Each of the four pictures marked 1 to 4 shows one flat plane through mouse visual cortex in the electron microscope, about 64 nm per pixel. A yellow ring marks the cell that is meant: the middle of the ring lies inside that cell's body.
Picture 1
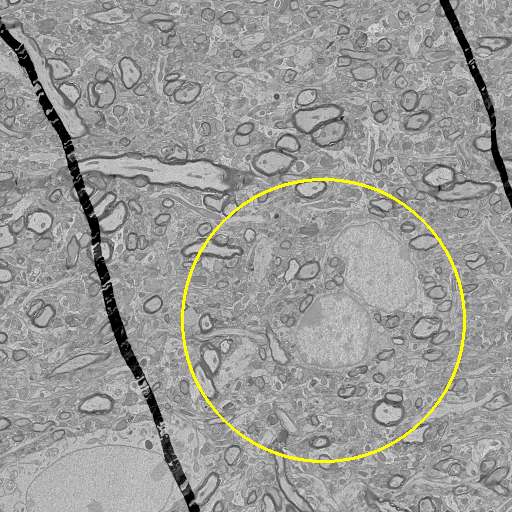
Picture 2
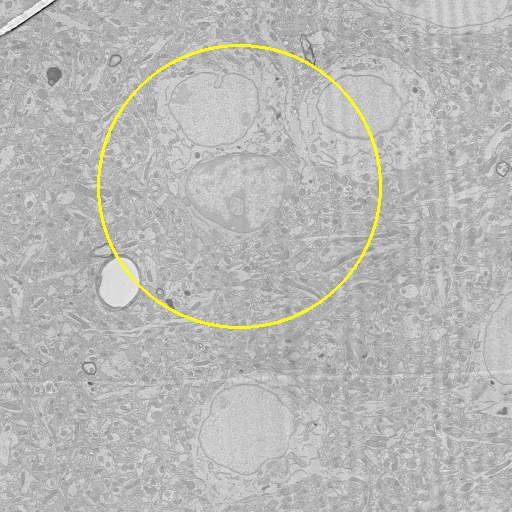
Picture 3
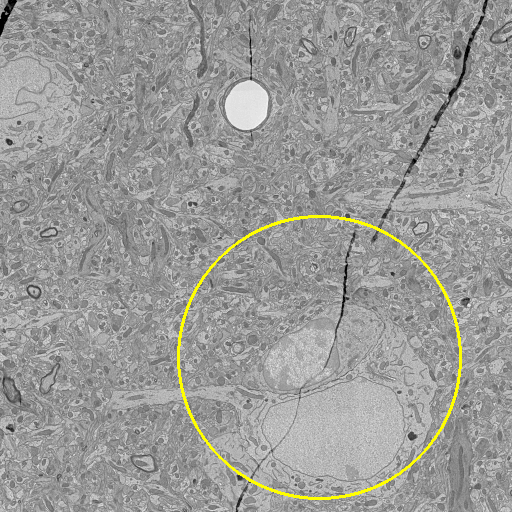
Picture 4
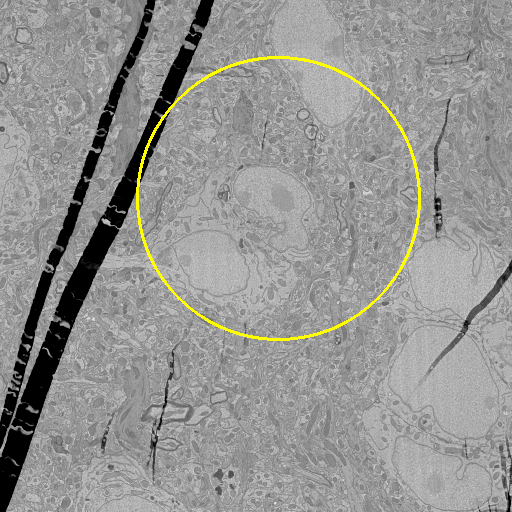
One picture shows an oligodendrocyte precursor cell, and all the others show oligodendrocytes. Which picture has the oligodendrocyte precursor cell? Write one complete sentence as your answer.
The oligodendrocyte precursor cell is the one in picture 4.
